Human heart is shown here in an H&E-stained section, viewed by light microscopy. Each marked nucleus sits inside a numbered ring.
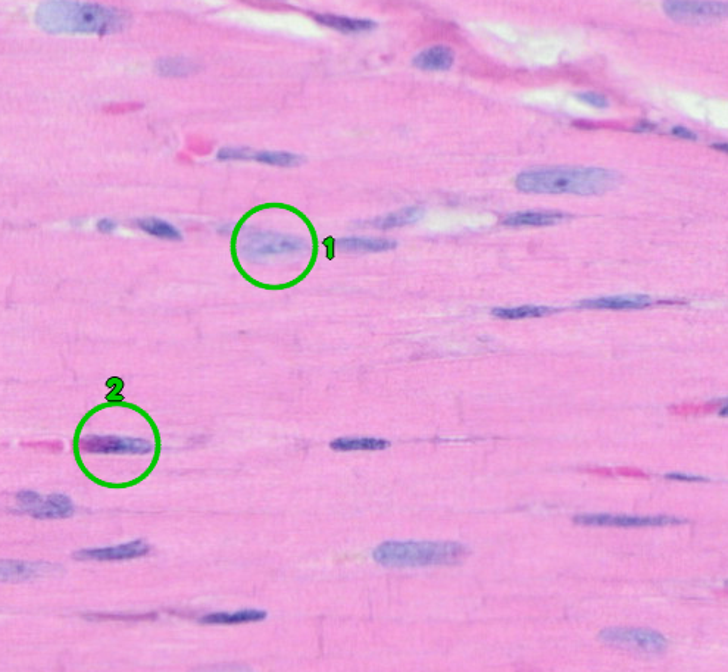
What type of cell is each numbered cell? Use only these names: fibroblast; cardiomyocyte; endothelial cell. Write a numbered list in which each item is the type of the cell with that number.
1. cardiomyocyte
2. endothelial cell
